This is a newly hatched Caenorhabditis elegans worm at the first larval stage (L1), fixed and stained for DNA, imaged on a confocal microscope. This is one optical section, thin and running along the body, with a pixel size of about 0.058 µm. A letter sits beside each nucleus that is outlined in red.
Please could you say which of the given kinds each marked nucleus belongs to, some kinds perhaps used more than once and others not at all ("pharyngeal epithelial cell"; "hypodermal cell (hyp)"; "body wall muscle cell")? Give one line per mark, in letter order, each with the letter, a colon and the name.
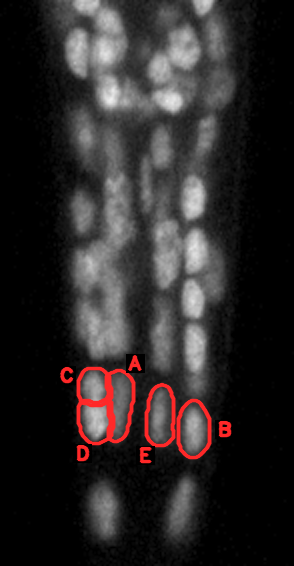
A: pharyngeal epithelial cell
B: hypodermal cell (hyp)
C: hypodermal cell (hyp)
D: hypodermal cell (hyp)
E: pharyngeal epithelial cell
